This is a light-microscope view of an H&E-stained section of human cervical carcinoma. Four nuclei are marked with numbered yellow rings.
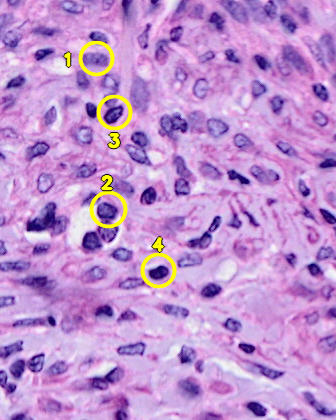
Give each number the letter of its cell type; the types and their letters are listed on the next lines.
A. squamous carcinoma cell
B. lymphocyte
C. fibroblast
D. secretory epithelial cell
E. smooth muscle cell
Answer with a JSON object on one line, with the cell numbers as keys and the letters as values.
{"1": "C", "2": "B", "3": "B", "4": "B"}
